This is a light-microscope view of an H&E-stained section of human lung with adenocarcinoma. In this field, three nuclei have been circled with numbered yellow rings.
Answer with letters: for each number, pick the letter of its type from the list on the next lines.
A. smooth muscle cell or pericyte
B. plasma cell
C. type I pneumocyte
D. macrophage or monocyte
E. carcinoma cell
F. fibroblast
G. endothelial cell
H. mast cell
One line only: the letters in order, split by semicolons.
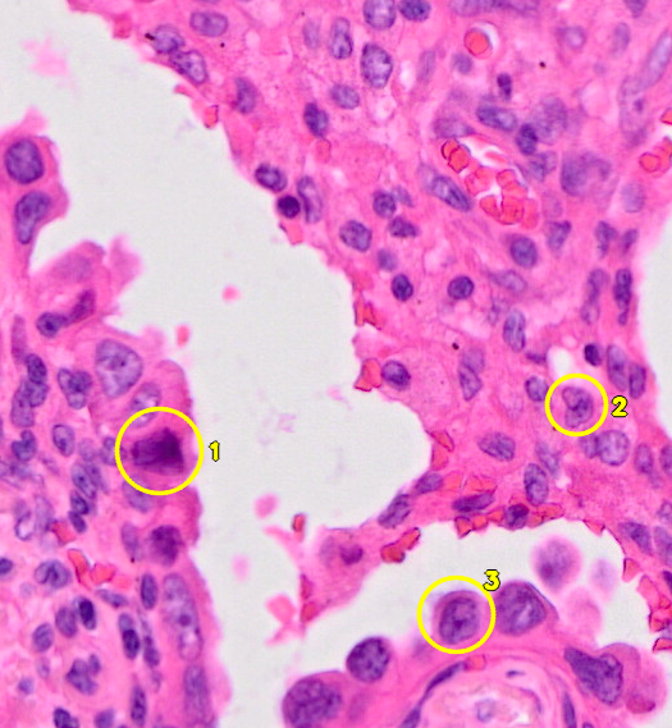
E; D; E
